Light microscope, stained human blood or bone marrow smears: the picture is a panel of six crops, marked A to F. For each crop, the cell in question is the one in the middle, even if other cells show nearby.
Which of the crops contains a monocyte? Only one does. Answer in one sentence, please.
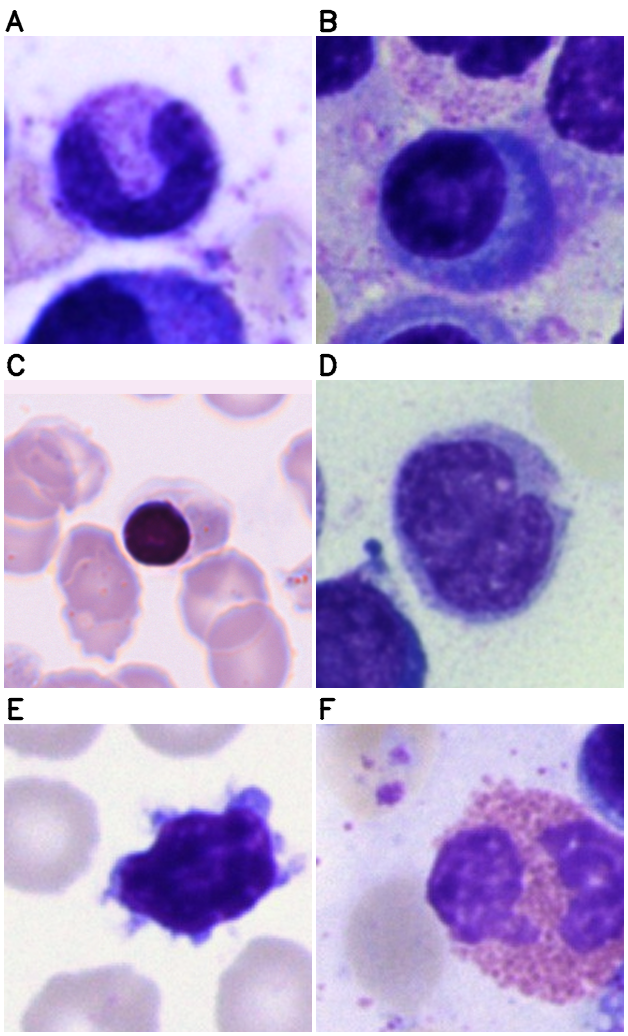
The one crop that shows a monocyte is crop D.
